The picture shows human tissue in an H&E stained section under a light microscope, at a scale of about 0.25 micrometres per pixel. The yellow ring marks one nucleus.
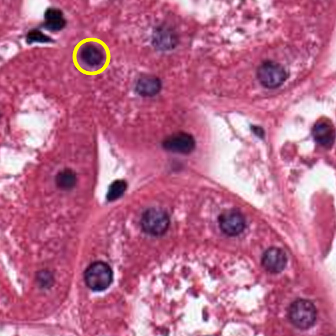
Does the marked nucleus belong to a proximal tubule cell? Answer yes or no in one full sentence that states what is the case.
Yes, the cell whose nucleus is marked is a proximal tubule cell.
